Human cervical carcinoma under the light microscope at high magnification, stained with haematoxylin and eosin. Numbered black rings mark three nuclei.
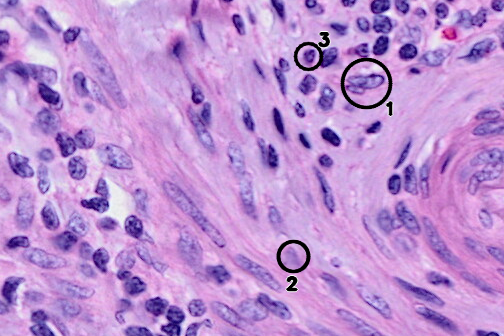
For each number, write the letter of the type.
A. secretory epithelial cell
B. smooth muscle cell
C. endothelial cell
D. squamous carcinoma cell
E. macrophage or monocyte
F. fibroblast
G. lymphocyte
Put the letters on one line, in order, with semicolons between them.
C; B; F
